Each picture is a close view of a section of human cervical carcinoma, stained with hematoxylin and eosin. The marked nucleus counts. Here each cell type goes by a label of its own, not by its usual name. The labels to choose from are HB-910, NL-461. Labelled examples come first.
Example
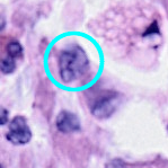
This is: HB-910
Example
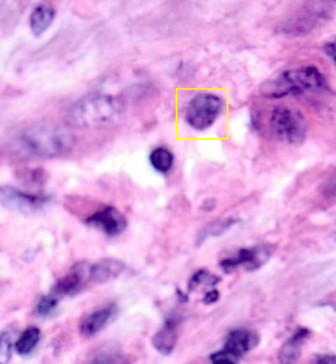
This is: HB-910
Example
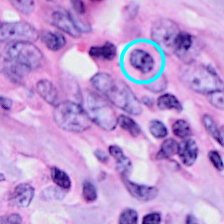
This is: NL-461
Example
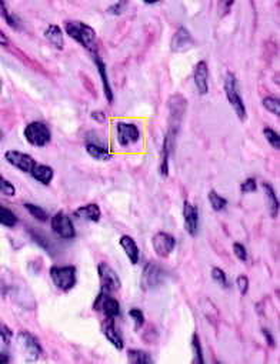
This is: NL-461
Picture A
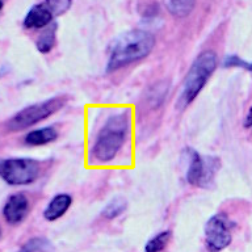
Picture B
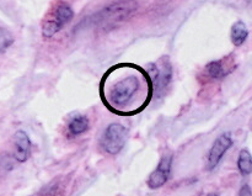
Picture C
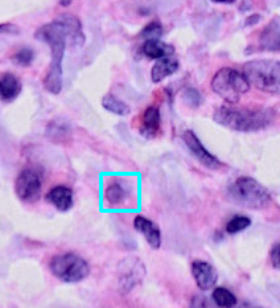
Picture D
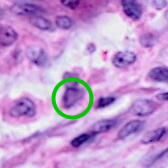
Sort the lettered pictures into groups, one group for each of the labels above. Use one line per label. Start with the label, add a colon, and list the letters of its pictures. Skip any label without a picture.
HB-910: A, B, C, D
